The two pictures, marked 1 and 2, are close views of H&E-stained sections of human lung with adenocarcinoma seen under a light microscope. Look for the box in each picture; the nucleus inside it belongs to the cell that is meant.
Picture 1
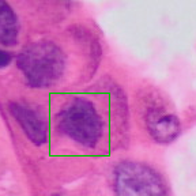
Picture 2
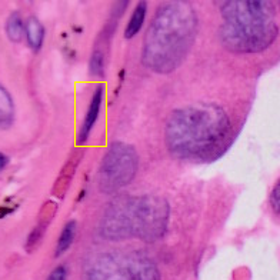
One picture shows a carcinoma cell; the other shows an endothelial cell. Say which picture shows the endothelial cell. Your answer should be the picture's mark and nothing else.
2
